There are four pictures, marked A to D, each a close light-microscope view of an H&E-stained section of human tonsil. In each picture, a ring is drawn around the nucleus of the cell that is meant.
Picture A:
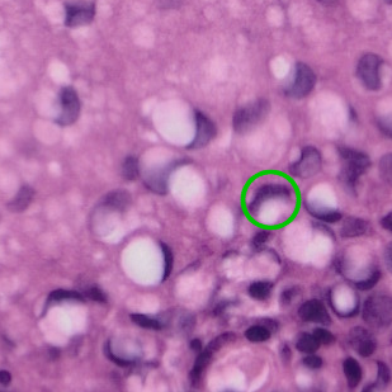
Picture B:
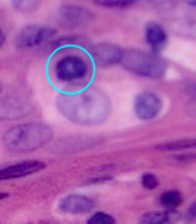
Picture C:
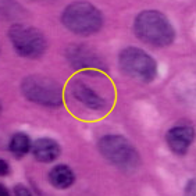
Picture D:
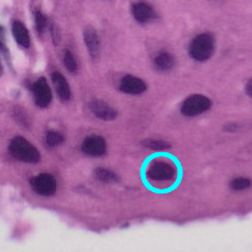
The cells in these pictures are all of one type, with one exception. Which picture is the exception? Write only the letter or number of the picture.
B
